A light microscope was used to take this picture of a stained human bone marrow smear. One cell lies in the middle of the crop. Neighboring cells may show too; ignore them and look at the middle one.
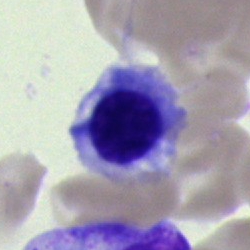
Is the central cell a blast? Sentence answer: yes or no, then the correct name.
No, the middle one is a normoblast rather than a blast.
